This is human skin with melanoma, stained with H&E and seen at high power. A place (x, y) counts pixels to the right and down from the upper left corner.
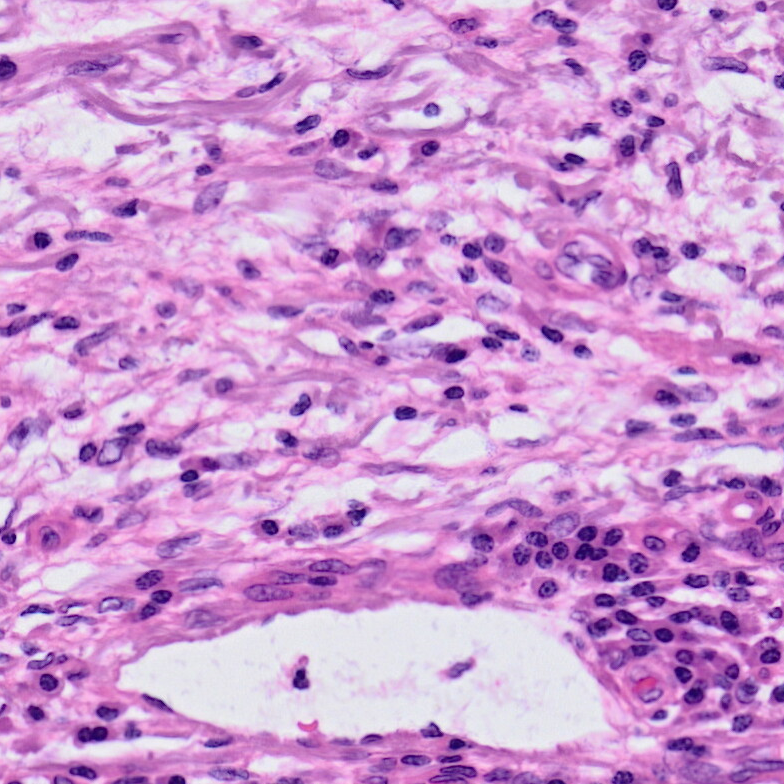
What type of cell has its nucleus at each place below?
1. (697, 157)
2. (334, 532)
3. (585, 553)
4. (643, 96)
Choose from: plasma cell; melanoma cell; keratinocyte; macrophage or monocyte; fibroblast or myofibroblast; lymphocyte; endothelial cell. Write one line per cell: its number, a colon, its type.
1: fibroblast or myofibroblast
2: plasma cell
3: plasma cell
4: plasma cell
